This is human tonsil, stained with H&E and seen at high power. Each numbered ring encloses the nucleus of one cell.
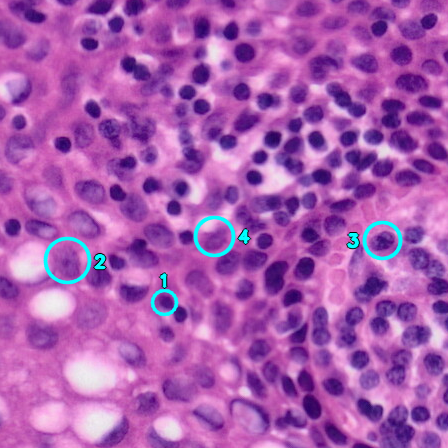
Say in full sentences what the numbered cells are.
Cells 1, 2 and 4 are squamous epithelial cells. Cell 3 is a plasma cell.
